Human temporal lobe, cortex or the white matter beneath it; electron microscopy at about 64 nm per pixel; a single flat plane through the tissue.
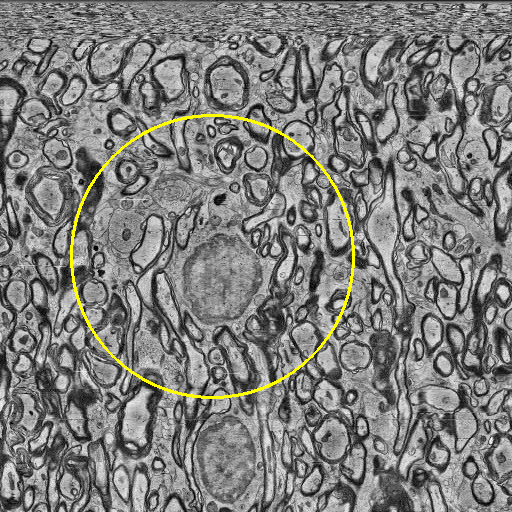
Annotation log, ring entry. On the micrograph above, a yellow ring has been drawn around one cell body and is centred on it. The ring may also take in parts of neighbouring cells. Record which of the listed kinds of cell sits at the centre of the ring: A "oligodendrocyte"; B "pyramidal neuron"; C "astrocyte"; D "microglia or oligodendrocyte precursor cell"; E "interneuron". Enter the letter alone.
A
